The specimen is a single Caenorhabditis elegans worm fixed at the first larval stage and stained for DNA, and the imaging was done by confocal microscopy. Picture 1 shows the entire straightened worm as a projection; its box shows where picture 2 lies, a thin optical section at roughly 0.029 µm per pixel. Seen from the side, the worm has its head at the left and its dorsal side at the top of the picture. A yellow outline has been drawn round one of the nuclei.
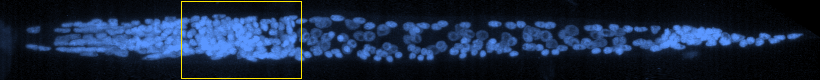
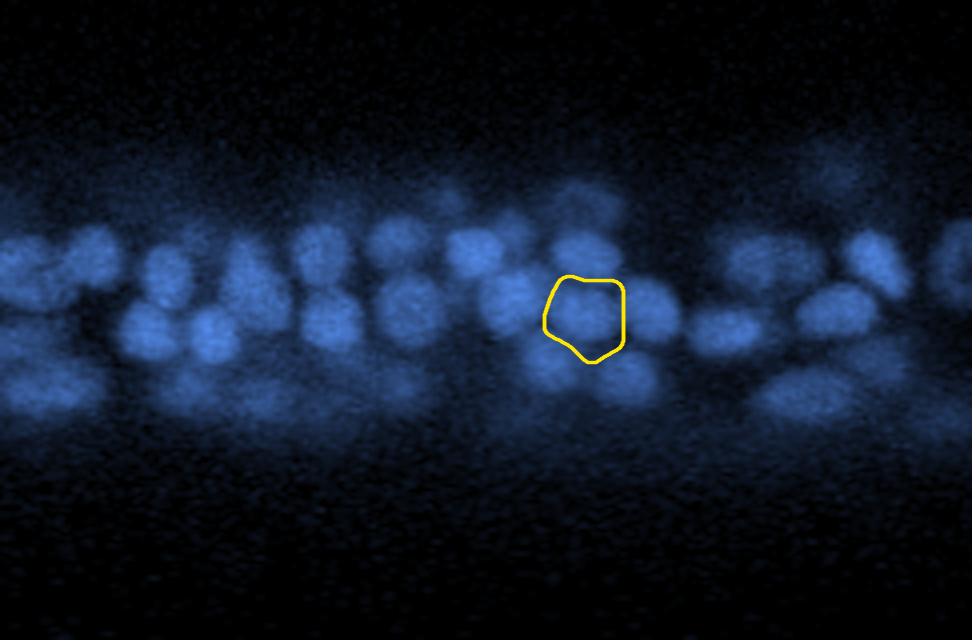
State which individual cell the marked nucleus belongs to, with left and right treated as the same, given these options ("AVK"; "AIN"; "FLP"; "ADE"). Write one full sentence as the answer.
The nucleus is from FLP, a neuron.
